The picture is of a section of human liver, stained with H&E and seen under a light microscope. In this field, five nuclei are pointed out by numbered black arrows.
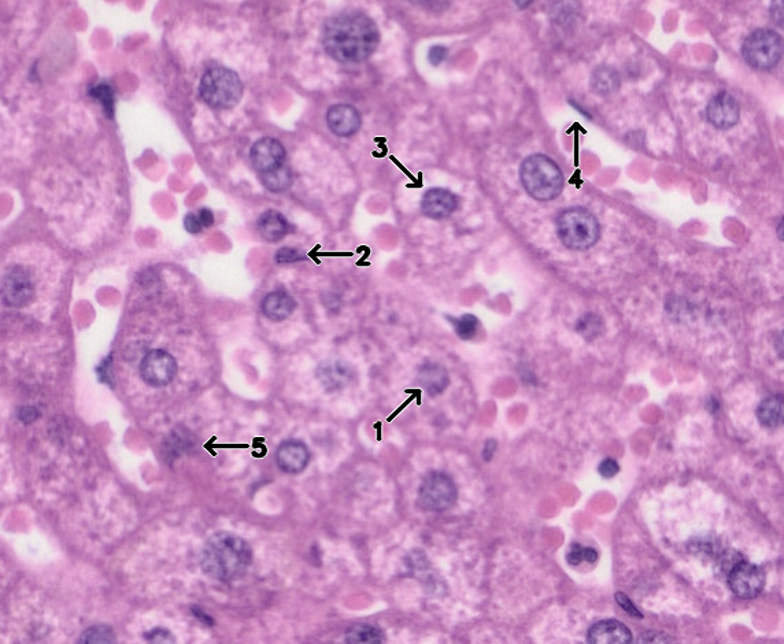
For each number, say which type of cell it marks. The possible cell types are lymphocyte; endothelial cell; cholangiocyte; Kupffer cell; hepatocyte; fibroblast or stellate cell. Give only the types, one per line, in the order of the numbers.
hepatocyte
fibroblast or stellate cell
hepatocyte
endothelial cell
hepatocyte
